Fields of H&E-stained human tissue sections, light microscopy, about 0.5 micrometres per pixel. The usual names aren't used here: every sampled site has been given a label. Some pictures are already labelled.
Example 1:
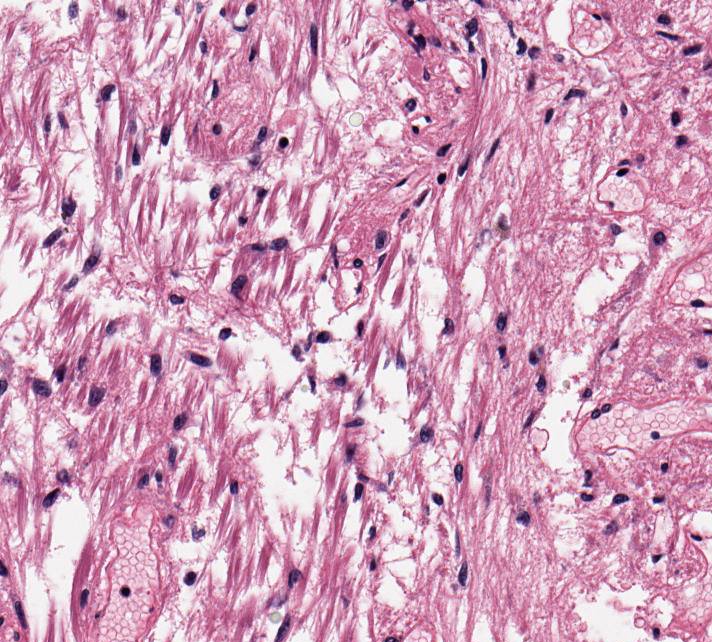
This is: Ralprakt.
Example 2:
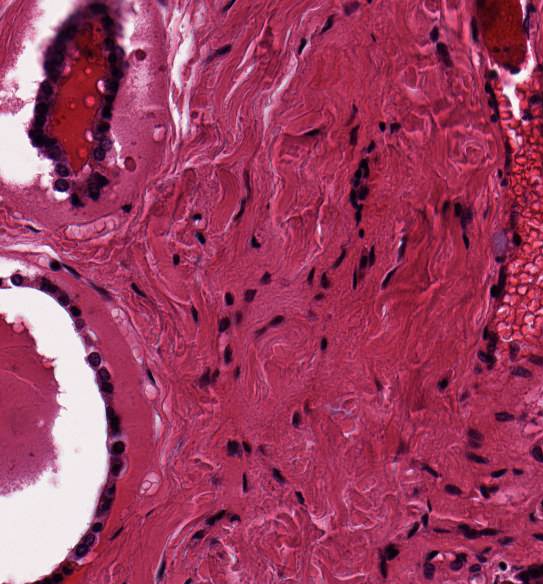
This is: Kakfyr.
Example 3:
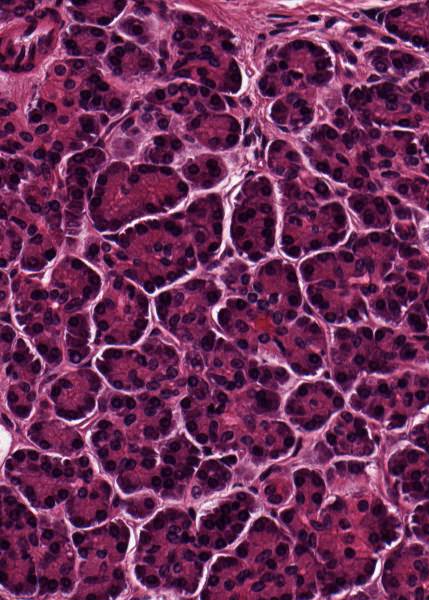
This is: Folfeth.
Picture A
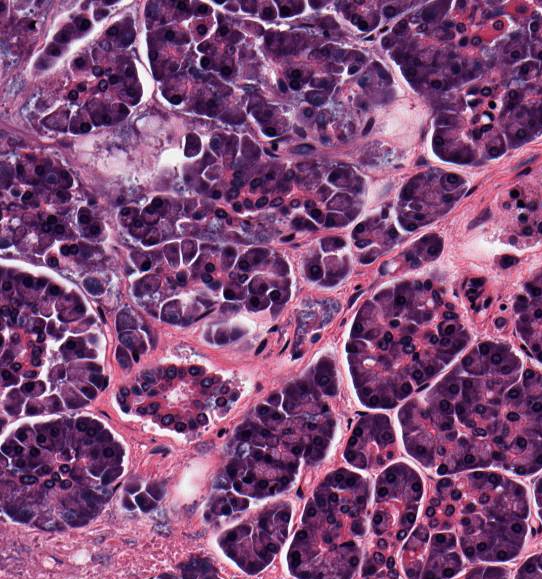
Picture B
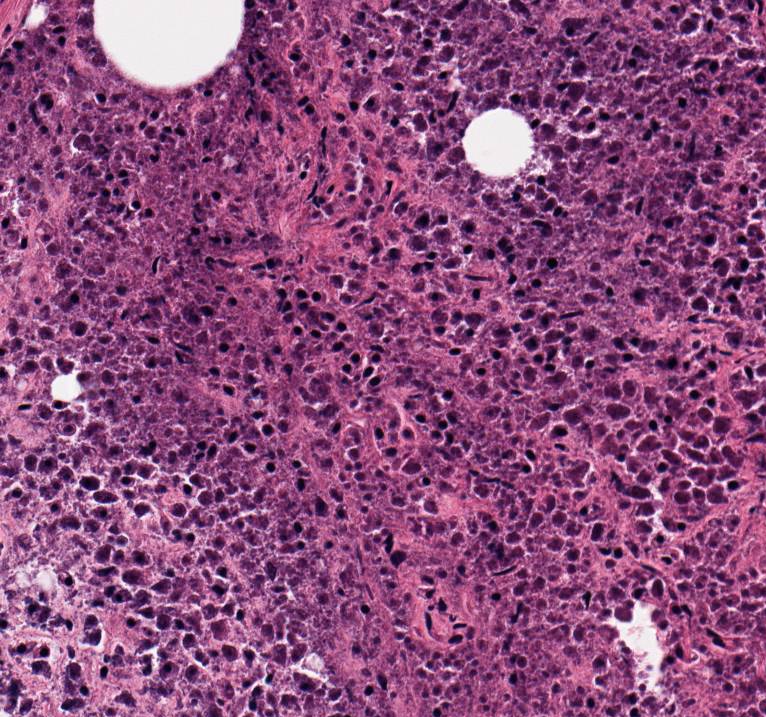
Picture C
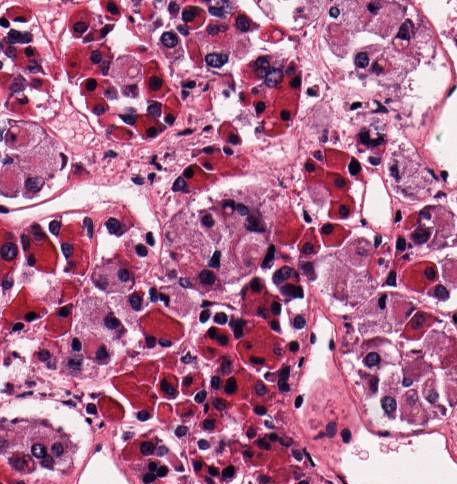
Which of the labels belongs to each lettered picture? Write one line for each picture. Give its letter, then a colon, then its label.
A: Folfeth.
B: Folfeth.
C: Ralprakt.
